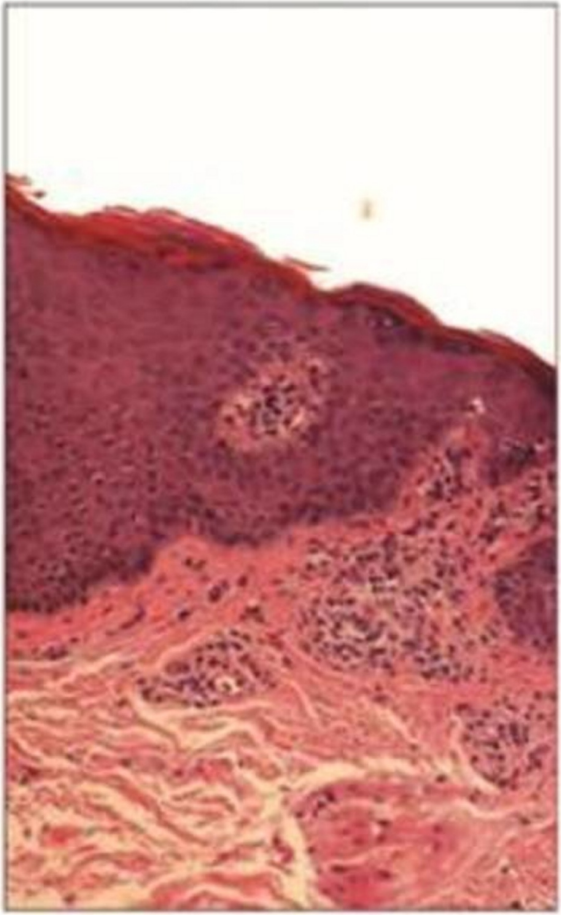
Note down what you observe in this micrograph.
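This section of skin shows a thickened epidermis of densely packed keratinocytes with purple nuclei, topped by a compact pink cornified layer. A dermal papilla cut across appears as a pale rounded island inside the epidermis, containing small cells. Beneath the epidermis, the upper dermis holds clusters of small dark round nuclei gathered around small vessels. The deeper dermis consists of loosely arranged pale pink collagen bundles with few cells.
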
